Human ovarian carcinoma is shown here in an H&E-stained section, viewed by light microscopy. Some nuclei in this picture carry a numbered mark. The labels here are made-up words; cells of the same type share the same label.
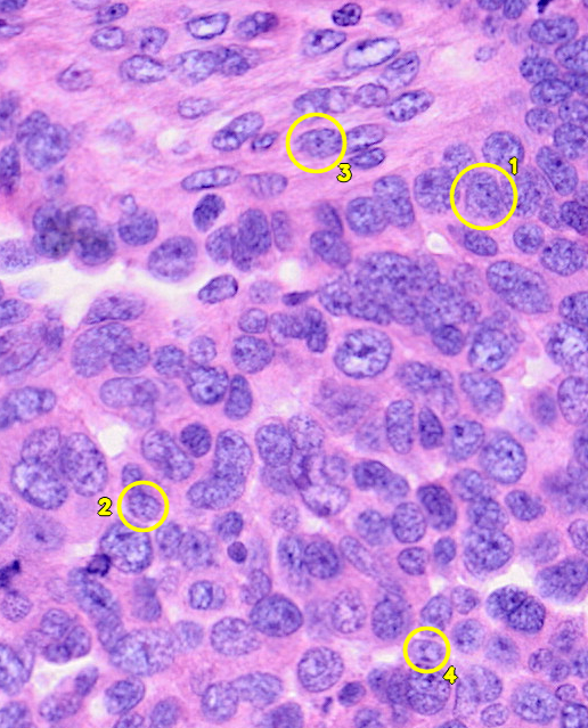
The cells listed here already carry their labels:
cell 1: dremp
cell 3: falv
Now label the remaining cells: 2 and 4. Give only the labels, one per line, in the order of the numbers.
dremp
dremp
